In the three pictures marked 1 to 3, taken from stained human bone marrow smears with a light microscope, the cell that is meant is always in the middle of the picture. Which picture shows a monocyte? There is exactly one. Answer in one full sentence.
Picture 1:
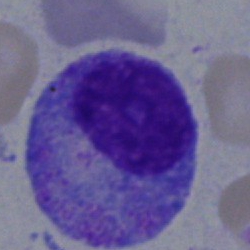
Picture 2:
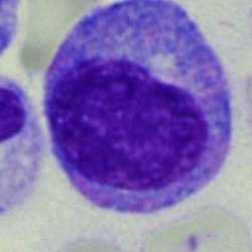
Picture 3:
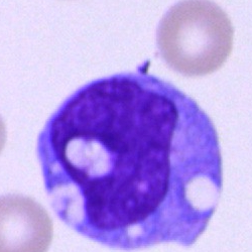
Picture 3 shows the monocyte.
